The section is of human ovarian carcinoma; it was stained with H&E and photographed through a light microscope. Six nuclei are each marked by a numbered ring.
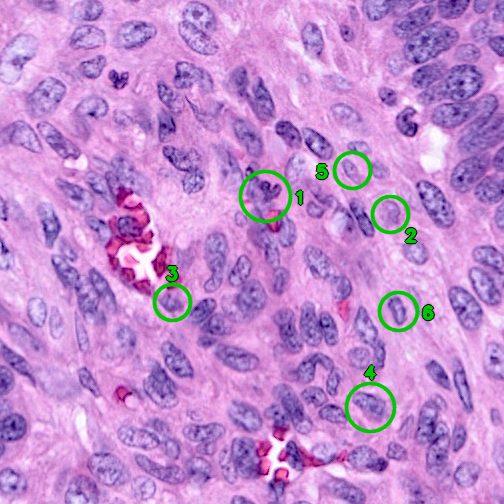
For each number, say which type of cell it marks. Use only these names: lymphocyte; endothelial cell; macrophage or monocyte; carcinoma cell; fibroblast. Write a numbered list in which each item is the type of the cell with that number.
1. endothelial cell
2. fibroblast
3. endothelial cell
4. fibroblast
5. fibroblast
6. fibroblast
